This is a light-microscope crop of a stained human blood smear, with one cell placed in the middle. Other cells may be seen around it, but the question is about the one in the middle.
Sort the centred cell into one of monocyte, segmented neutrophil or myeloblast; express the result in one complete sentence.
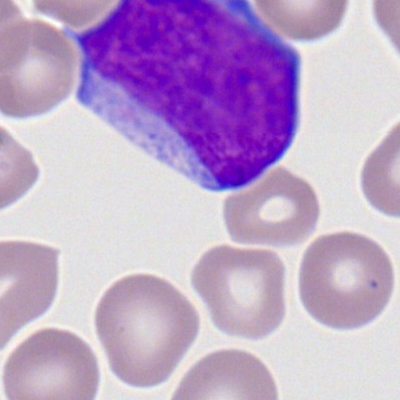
The cell under consideration, at the middle of the crop, is a myeloblast.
